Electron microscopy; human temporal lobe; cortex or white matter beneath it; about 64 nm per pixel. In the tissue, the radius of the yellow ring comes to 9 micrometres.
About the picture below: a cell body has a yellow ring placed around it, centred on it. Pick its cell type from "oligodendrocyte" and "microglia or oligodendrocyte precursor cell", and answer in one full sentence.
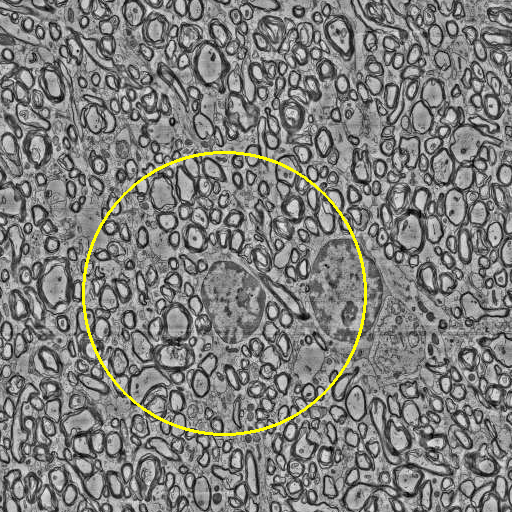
In the picture, a microglial cell or oligodendrocyte precursor cell is the cell sitting at the centre of the yellow ring.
